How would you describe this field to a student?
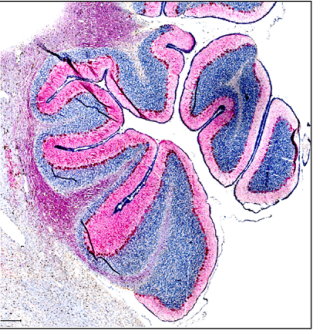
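Low-magnification section of cerebellum showing several folia separated by deep fissures. Each folium has a core layer packed with small, densely crowded blue-stained nuclei, forming a dark blue ribbon that follows the folding. Along the outer edge of this blue layer runs a broad red-pink band that covers the surface of every folium and lines the fissures. Thin paler strands run through the centre of the folia beneath the blue layer. Toward the left, outside the folia, lies paler, less organised tissue with a purplish tint. Individual cells are not resolved at this scale; only the layered architecture is evident.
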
